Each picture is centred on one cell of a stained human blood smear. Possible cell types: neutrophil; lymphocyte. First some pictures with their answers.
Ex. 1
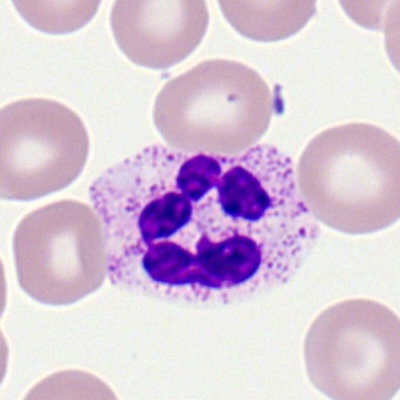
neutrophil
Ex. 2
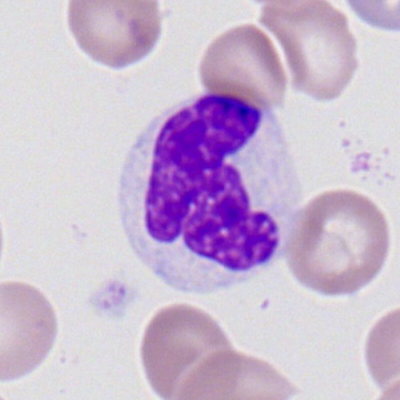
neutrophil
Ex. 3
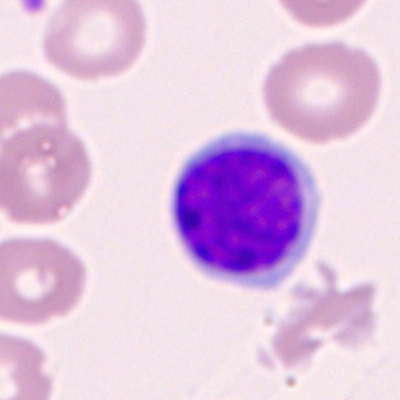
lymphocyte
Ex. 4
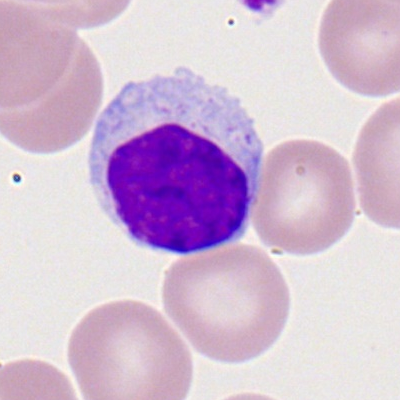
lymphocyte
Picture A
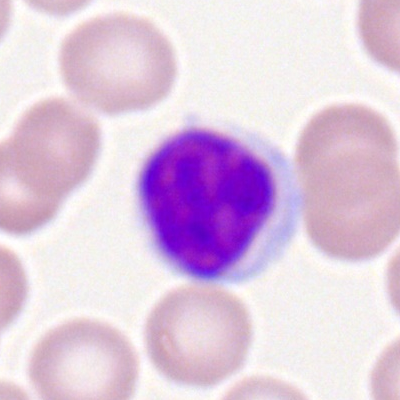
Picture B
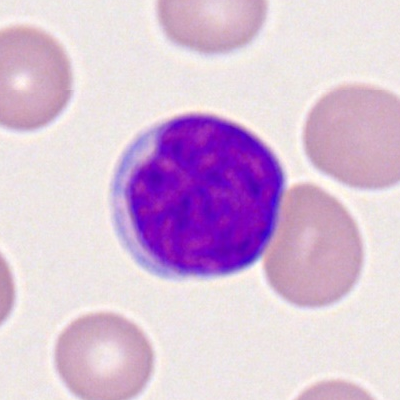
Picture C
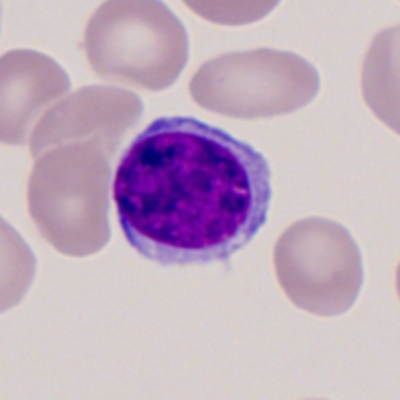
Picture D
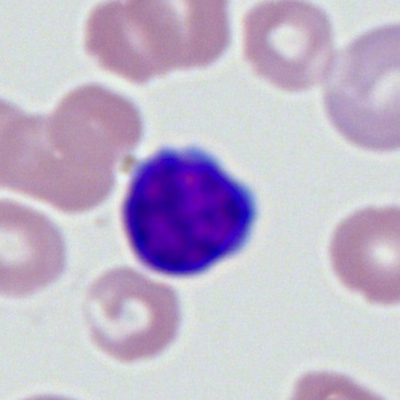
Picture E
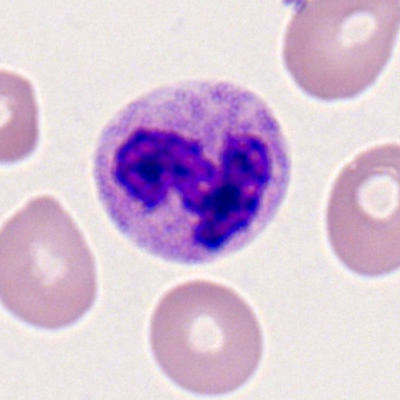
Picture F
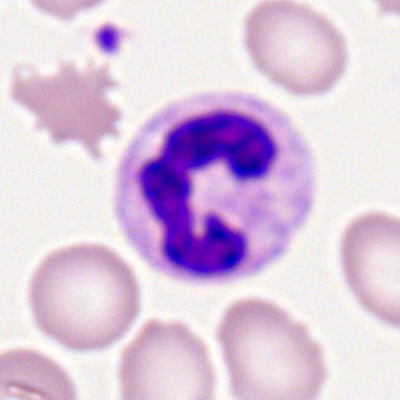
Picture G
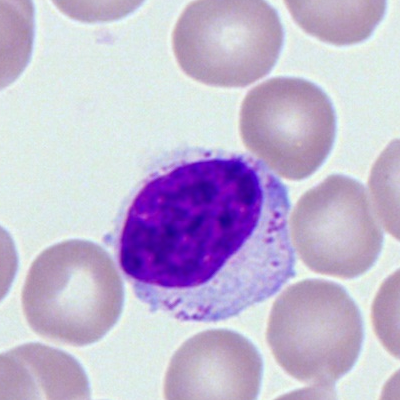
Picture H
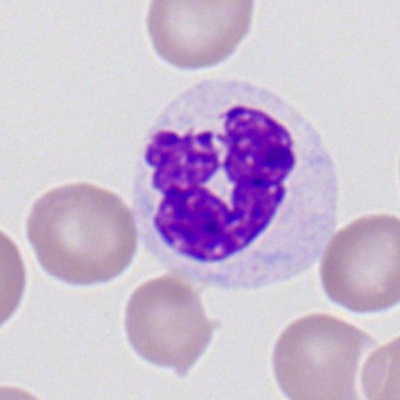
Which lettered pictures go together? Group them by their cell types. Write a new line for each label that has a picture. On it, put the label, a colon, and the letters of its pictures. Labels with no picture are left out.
neutrophil: E, F, H
lymphocyte: A, B, C, D, G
